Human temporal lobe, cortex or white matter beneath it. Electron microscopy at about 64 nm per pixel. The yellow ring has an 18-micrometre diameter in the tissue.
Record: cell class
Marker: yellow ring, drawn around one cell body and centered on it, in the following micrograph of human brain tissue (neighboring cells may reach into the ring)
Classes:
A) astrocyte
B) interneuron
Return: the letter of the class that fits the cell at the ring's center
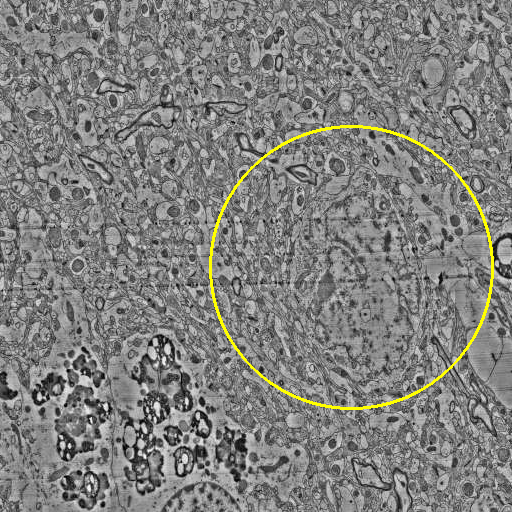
B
